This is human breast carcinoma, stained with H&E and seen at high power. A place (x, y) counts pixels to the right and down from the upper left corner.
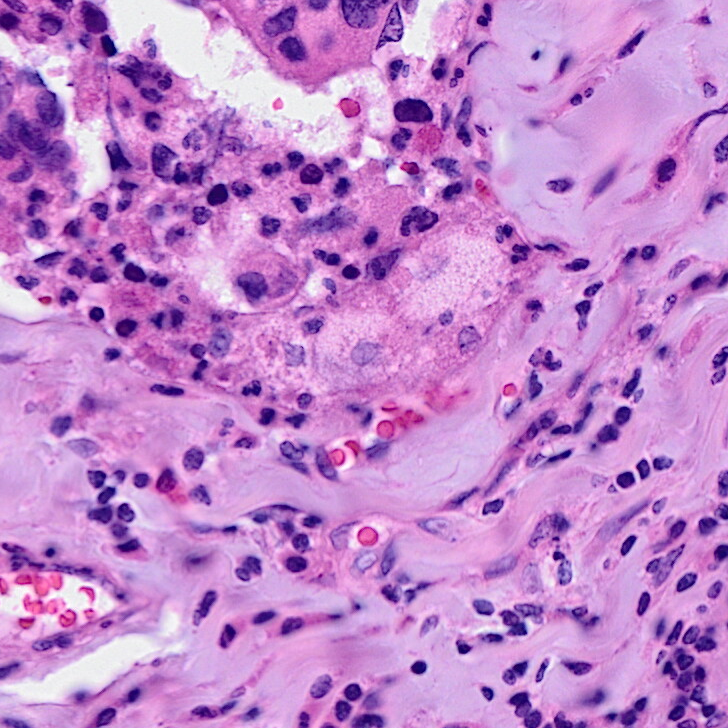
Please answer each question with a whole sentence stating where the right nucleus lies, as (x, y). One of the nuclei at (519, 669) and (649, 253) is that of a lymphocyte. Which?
Between the pair, the nucleus at (519, 669) belongs to a lymphocyte.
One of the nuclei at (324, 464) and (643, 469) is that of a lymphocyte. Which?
The nucleus located at (643, 469) is the one held within a lymphocyte.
